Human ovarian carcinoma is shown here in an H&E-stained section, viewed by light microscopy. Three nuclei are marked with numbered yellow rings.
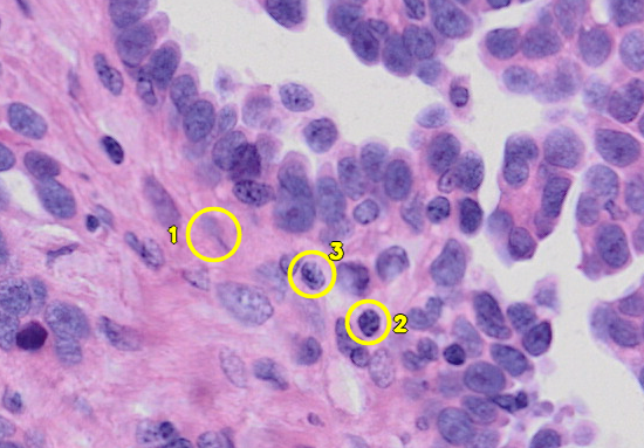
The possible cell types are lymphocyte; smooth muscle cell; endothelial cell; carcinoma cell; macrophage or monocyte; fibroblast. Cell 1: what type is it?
fibroblast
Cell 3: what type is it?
lymphocyte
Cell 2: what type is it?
lymphocyte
